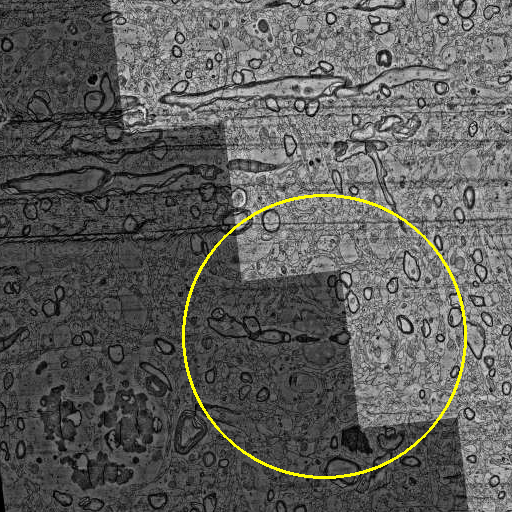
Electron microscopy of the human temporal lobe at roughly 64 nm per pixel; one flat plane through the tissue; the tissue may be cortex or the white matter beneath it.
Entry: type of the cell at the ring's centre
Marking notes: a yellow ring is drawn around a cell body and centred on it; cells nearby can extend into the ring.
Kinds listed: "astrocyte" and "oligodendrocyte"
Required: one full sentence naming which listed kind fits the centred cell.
My entry names an oligodendrocyte as the cell whose body the yellow ring centres on.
